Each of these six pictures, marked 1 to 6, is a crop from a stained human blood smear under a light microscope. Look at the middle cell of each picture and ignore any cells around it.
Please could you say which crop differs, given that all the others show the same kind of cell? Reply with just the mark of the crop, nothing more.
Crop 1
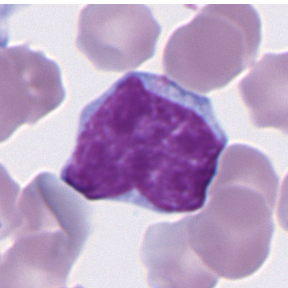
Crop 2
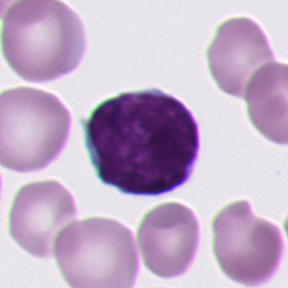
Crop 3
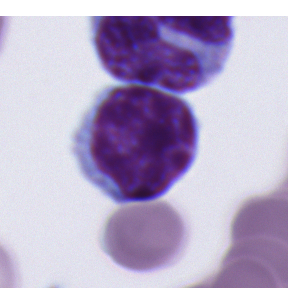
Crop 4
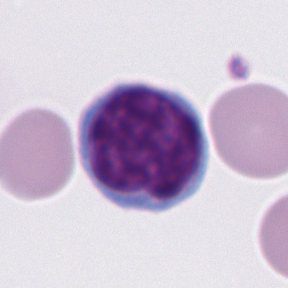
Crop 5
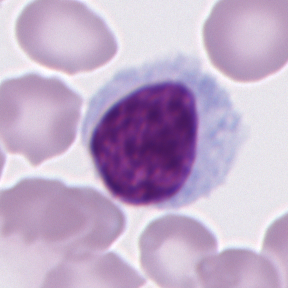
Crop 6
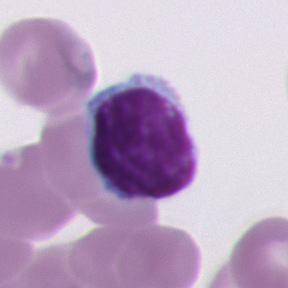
5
